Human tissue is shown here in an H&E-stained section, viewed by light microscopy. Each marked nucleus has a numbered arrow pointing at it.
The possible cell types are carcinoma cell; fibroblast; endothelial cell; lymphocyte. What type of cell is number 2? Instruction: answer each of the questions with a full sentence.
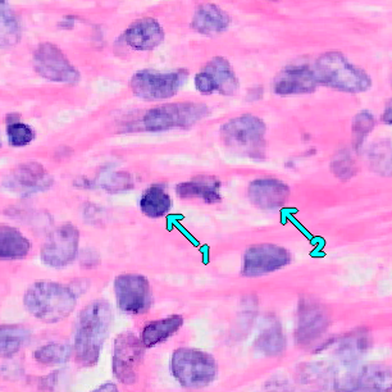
At number 2, the marked cell is a carcinoma cell.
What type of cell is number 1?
The identity of cell 1 is that of a lymphocyte.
